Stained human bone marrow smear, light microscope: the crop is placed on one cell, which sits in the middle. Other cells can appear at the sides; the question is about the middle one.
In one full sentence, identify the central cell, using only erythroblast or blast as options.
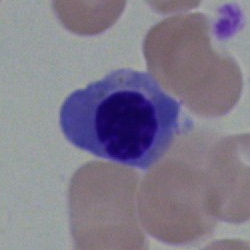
The cell centred in this crop is categorized as an erythroblast.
